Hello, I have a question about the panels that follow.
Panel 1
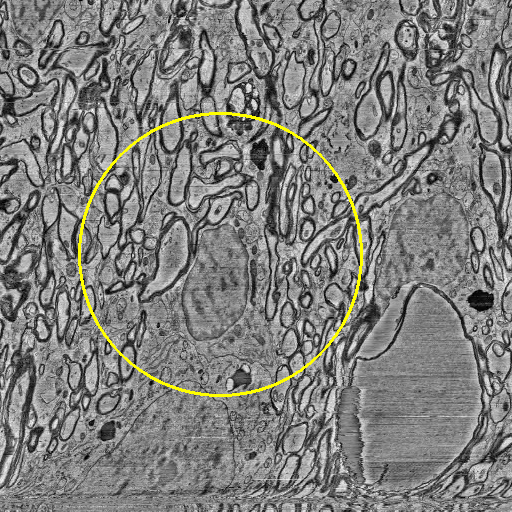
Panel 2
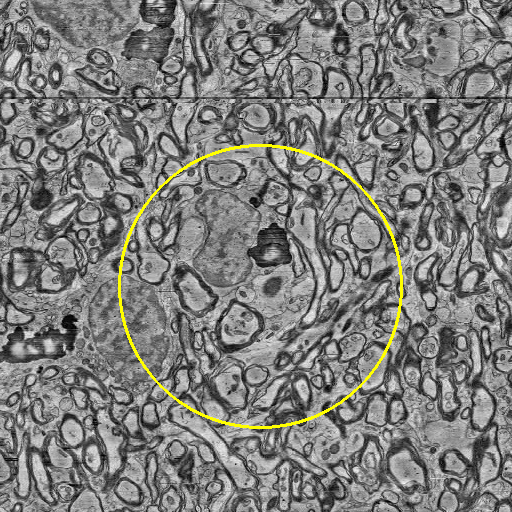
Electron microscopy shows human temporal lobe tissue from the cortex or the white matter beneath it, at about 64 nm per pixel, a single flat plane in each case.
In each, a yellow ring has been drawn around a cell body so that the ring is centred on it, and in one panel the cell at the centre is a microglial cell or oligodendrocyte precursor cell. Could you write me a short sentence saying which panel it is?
It is Panel 2.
